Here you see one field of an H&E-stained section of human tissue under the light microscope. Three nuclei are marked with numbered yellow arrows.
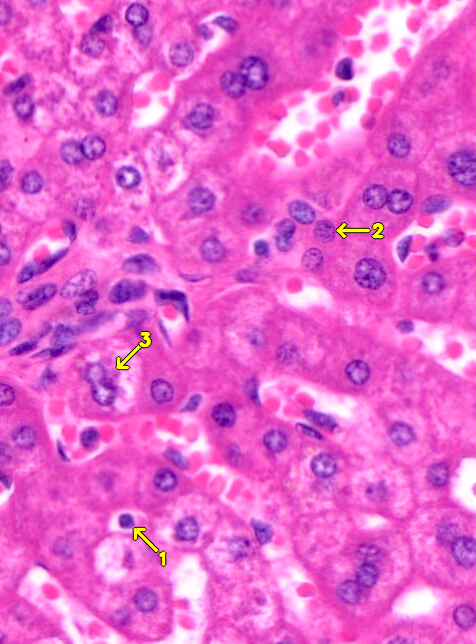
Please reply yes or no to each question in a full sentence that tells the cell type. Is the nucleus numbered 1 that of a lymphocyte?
Yes, the numbered nucleus 1 is that of a lymphocyte.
